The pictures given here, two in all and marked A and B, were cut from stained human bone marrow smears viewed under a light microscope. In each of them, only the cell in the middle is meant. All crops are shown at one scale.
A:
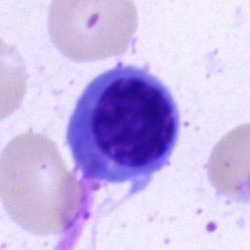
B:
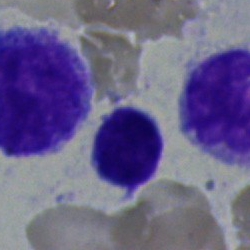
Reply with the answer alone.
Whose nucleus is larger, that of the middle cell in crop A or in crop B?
A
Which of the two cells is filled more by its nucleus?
B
